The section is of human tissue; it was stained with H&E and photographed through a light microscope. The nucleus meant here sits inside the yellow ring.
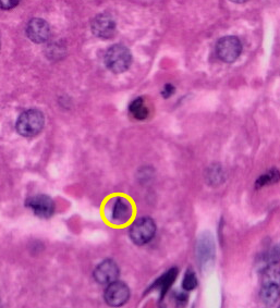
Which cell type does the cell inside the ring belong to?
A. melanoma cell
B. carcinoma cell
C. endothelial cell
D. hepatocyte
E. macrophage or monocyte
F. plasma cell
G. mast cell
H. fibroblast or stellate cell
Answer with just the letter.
H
